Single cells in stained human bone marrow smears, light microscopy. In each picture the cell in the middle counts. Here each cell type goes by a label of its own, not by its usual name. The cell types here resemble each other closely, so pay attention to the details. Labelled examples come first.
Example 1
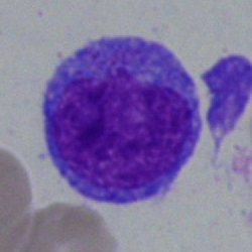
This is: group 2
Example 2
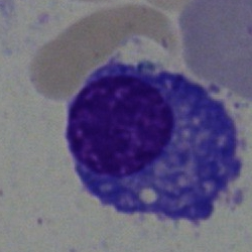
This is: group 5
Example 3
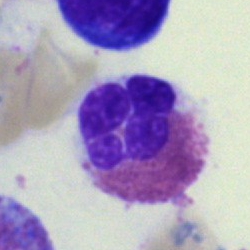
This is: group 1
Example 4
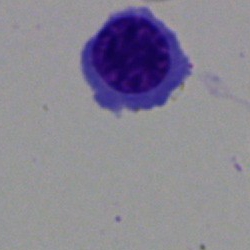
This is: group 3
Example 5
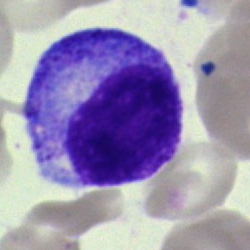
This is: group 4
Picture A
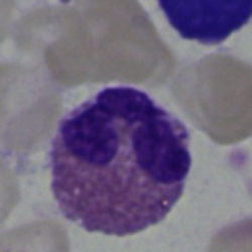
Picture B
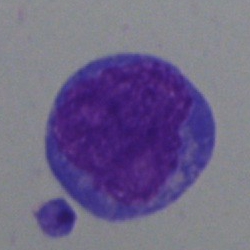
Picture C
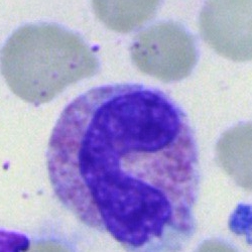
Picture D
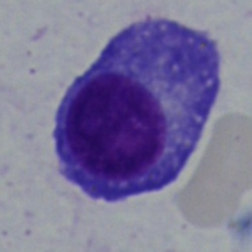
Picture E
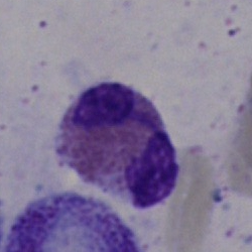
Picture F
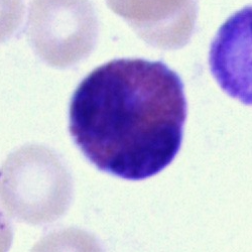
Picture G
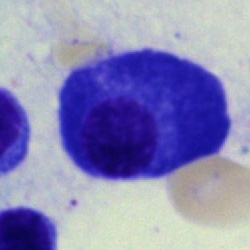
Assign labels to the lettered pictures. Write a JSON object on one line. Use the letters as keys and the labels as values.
{"A": "group 1", "B": "group 2", "C": "group 1", "D": "group 5", "E": "group 1", "F": "group 1", "G": "group 5"}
